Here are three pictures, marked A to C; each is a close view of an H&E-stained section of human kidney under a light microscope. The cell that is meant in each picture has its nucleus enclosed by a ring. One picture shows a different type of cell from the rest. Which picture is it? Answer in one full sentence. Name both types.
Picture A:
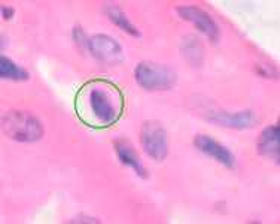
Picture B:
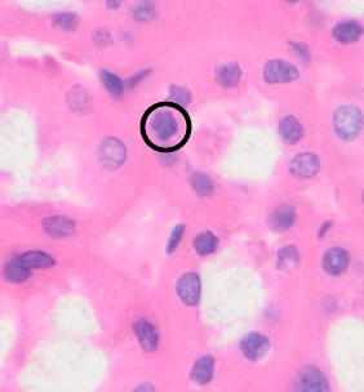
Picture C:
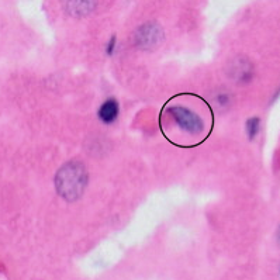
The others show endothelial cells, but picture B shows a “loop of Henle or distal tubule cell”.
